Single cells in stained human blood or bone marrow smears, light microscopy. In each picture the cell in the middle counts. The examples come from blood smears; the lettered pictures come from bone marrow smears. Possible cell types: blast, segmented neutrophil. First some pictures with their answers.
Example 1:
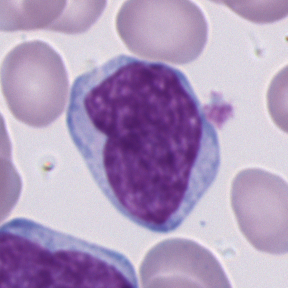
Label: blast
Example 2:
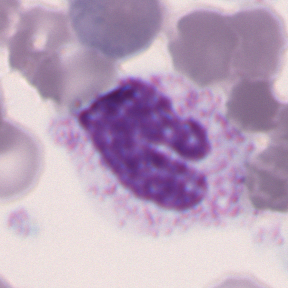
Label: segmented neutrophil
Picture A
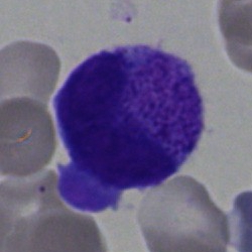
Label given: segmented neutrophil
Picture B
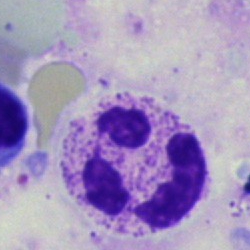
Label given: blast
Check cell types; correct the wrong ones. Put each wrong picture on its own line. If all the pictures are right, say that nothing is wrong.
A: not segmented neutrophil but blast
B: not blast but segmented neutrophil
